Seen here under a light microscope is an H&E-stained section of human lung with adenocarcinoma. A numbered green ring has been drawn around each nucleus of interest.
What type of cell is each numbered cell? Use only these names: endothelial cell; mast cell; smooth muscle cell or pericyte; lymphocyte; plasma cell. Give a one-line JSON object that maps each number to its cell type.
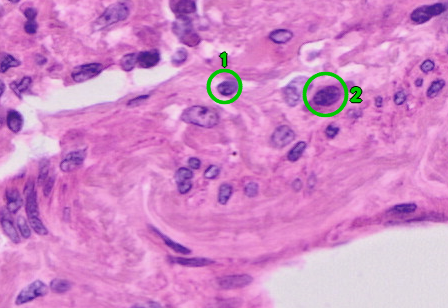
{"1": "lymphocyte", "2": "plasma cell"}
